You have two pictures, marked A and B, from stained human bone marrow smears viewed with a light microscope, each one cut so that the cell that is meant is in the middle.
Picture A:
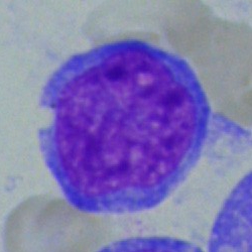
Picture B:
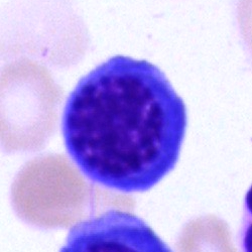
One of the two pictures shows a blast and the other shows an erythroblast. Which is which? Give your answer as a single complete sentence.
Picture A shows a blast and picture B shows an erythroblast.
